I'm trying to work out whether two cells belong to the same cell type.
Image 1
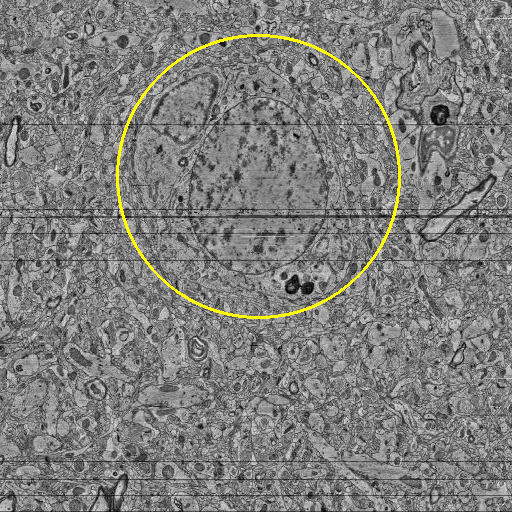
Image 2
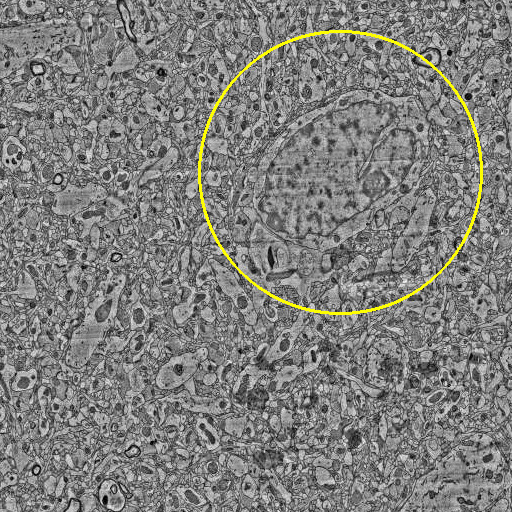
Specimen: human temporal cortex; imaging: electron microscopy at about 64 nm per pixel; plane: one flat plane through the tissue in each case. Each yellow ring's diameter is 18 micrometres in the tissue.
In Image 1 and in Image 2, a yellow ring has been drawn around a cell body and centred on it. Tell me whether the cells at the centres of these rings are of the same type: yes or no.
no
